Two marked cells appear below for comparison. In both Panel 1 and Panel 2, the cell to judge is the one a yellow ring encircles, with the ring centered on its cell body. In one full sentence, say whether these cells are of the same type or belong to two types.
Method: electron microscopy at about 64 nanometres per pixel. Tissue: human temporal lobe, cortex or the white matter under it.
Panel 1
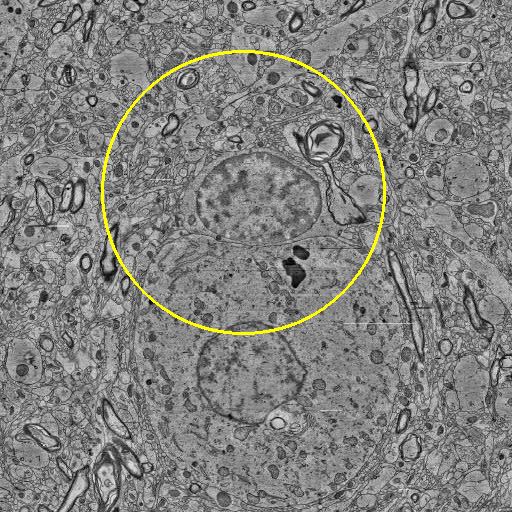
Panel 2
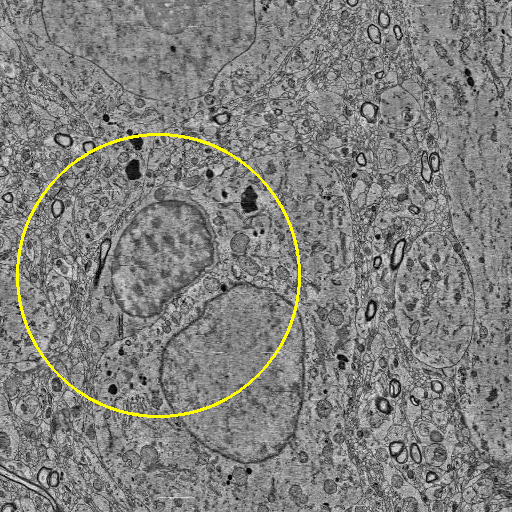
The cell centered in the Panel 1 ring and the one in Panel 2 are of the same type.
